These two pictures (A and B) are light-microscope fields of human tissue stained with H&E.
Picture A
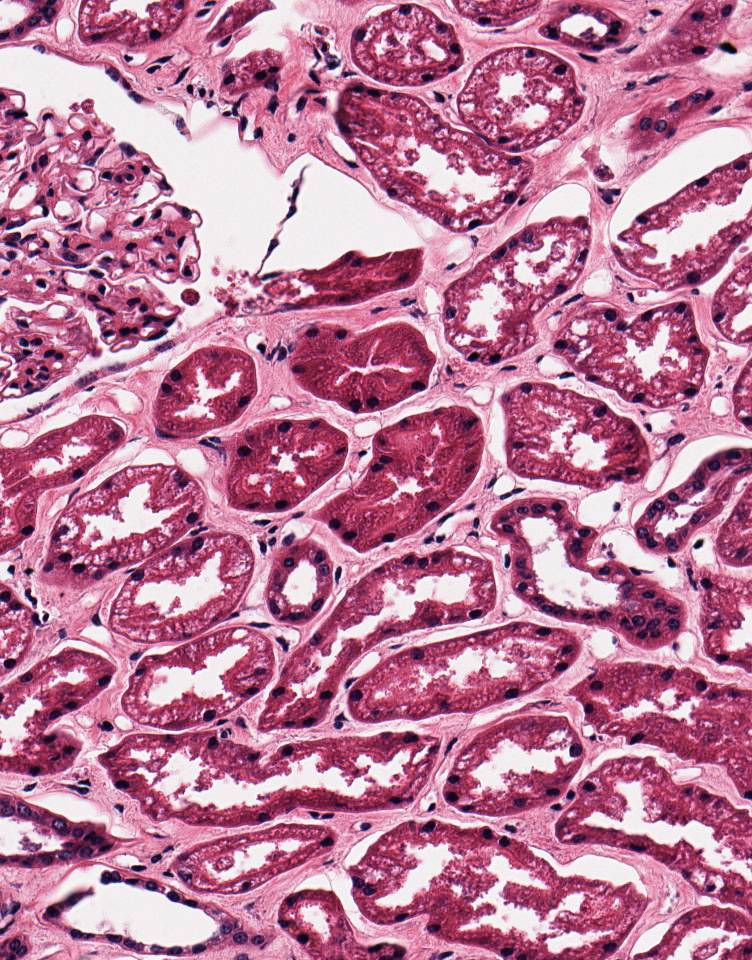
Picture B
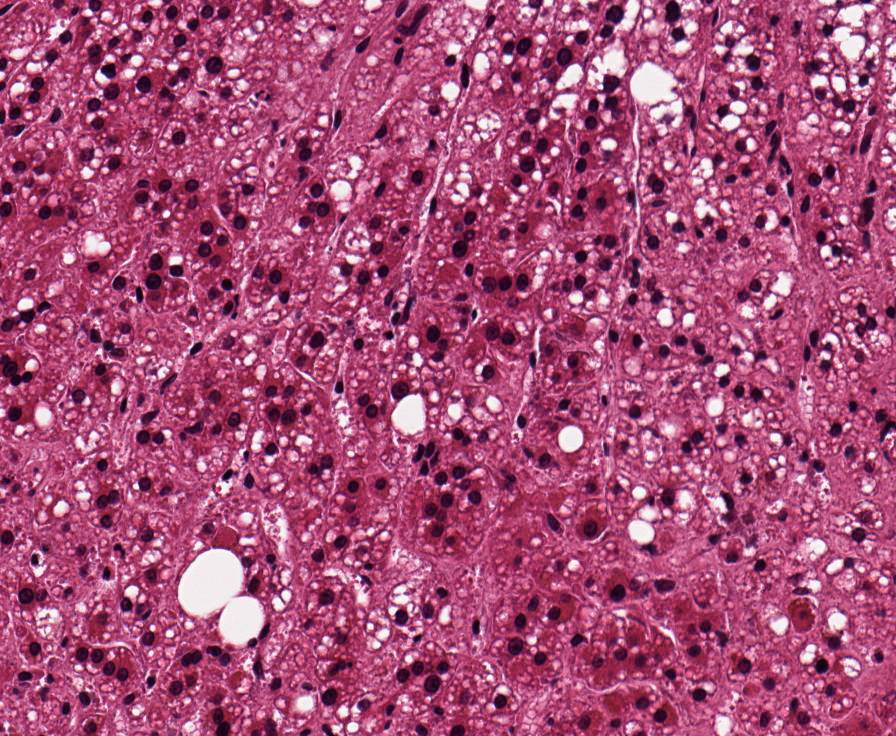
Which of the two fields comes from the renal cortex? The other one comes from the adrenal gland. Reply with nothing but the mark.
A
